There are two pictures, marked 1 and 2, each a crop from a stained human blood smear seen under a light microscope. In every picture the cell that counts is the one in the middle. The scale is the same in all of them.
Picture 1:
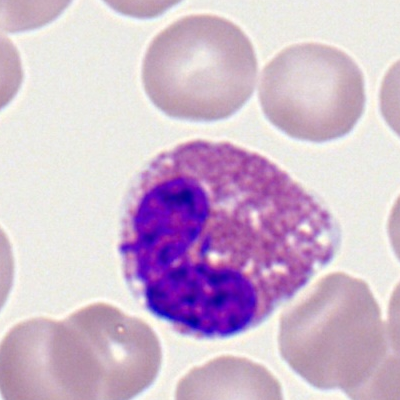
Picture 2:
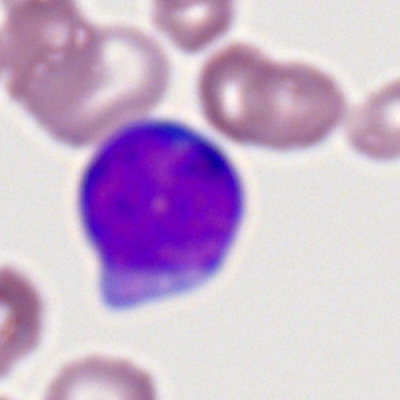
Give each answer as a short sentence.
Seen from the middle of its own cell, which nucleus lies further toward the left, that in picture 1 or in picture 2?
It is the nucleus in picture 1 that lies further toward the left of its cell.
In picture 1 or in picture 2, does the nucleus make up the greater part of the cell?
Of the two, the nucleus in picture 2 makes up the greater part of its cell.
